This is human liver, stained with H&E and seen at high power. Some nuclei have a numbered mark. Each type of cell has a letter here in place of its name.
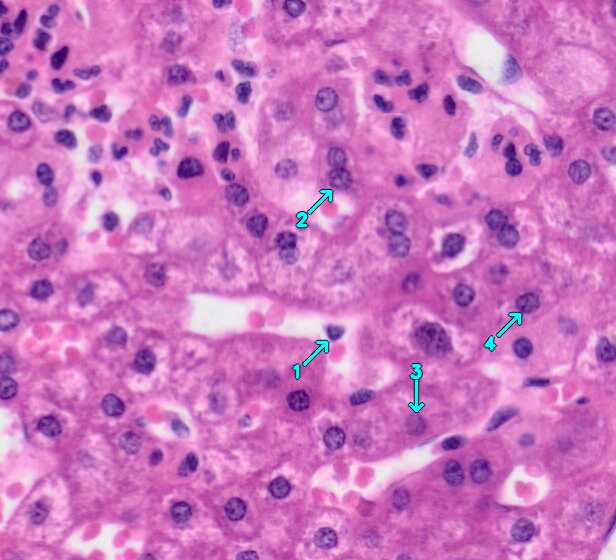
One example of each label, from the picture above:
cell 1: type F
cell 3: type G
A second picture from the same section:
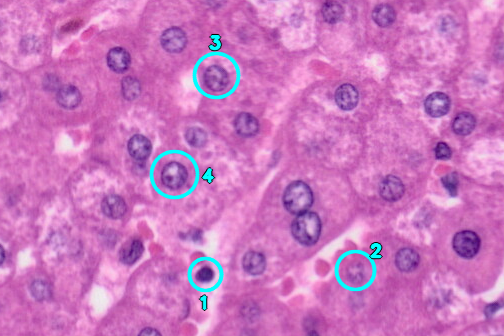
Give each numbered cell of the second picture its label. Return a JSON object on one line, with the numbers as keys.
{"1": "type F", "2": "type G", "3": "type G", "4": "type G"}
